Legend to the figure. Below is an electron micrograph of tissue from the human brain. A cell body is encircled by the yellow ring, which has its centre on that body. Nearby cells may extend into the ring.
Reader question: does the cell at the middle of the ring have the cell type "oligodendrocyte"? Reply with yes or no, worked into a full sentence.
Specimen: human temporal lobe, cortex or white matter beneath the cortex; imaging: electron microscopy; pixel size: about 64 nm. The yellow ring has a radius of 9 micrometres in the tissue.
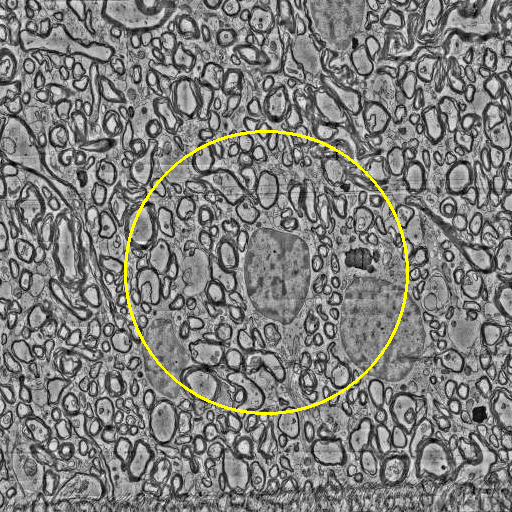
No, the cell sitting at the middle of the ring in the picture has another cell type.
